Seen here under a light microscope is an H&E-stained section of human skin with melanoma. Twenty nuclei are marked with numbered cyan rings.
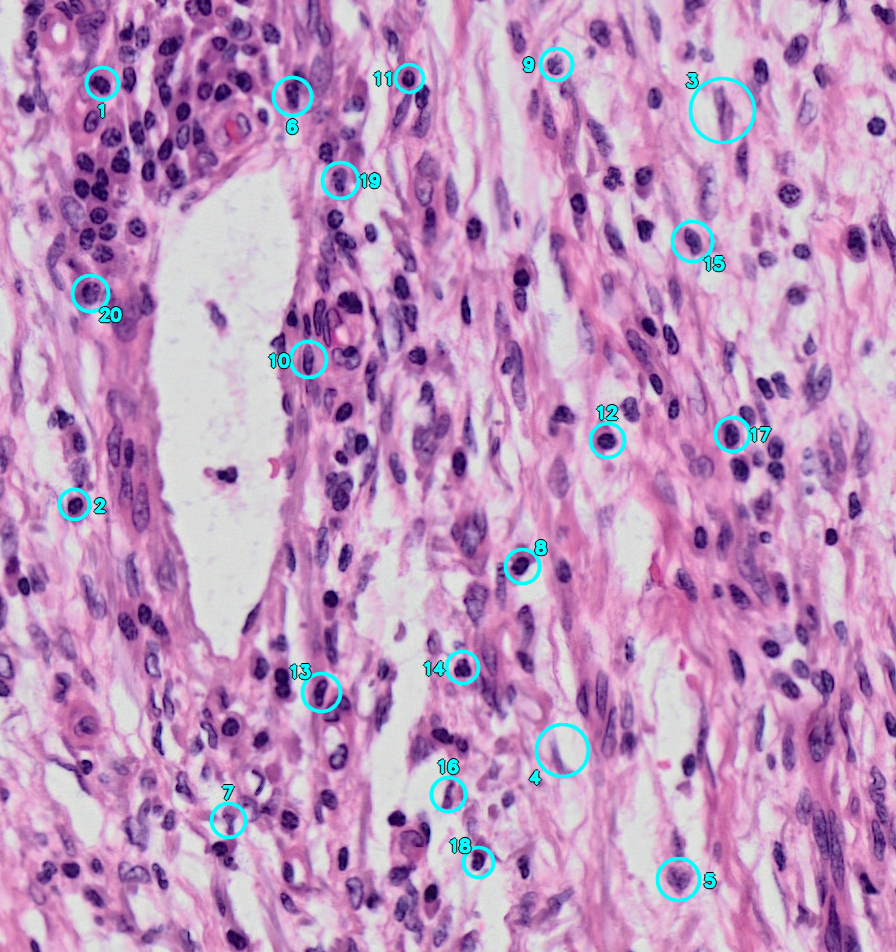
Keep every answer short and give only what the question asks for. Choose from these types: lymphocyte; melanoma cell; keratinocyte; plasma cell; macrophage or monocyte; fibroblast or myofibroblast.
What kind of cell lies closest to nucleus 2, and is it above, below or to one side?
a fibroblast or myofibroblast, above nucleus 2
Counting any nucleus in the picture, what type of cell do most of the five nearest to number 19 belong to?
plasma cell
